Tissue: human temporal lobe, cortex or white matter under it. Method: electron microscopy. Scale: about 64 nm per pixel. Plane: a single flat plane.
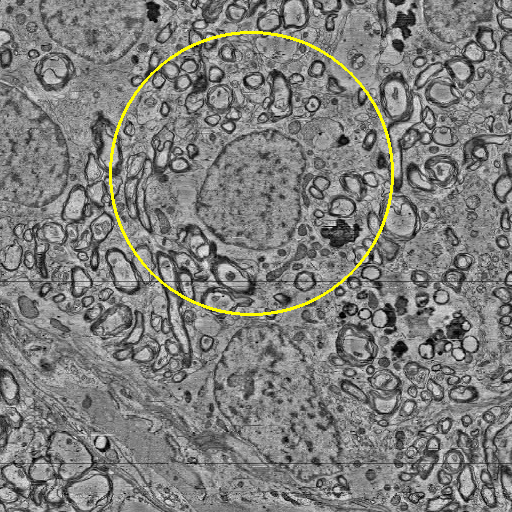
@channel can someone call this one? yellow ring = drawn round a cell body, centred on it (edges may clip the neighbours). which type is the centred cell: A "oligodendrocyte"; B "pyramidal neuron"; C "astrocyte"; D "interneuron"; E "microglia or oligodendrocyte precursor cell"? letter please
C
